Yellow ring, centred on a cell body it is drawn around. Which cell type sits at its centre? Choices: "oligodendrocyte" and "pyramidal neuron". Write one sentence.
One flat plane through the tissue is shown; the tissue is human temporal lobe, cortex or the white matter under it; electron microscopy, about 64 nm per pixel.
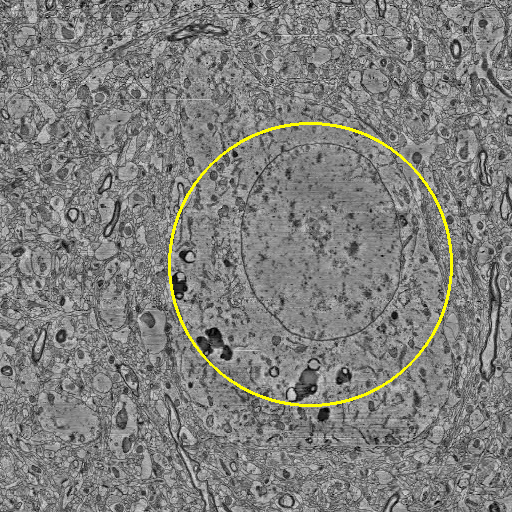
At the centre of the ring sits a pyramidal neuron.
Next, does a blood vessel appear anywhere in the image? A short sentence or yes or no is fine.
No, the picture includes no blood vessel.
